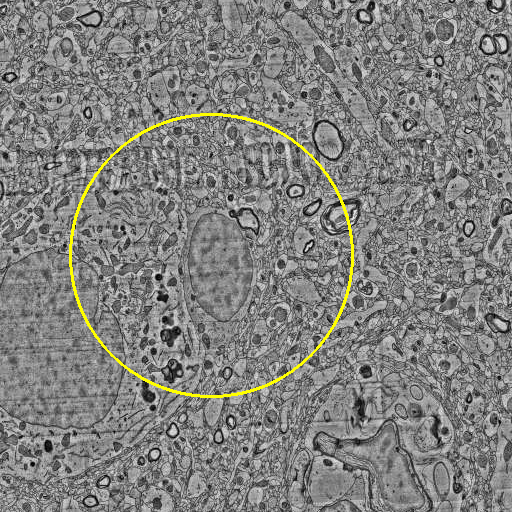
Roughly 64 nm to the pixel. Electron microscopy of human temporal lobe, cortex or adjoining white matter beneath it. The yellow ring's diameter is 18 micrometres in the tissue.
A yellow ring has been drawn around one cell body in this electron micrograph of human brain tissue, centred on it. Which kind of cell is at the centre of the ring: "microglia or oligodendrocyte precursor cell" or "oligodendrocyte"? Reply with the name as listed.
oligodendrocyte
